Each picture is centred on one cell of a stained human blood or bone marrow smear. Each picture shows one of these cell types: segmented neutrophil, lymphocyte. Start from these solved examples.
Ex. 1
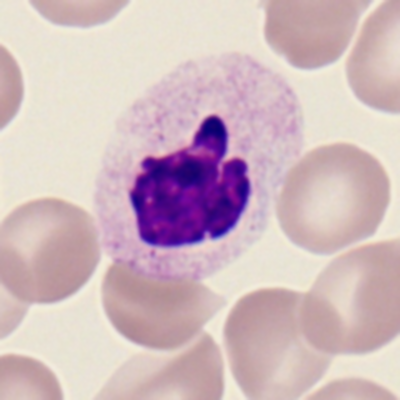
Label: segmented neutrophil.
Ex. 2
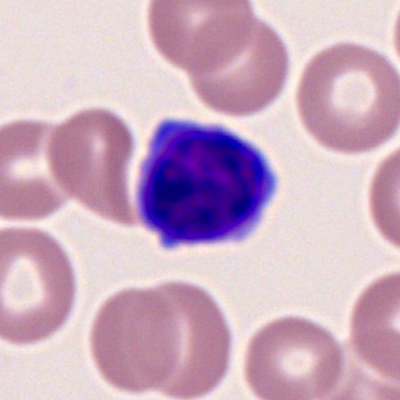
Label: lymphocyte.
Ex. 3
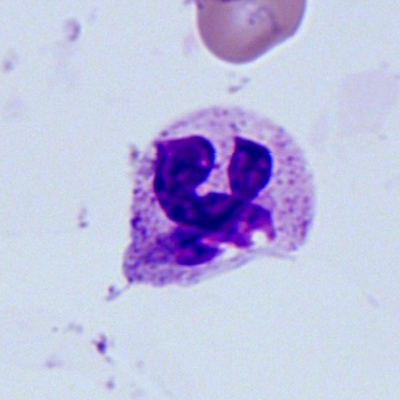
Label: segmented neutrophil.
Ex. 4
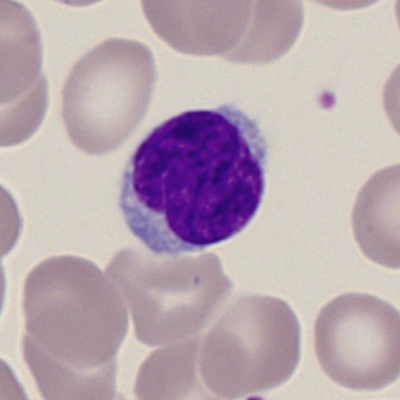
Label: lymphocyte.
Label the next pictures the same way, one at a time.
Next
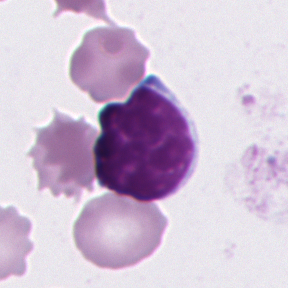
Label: lymphocyte.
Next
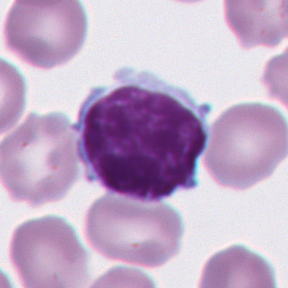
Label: lymphocyte.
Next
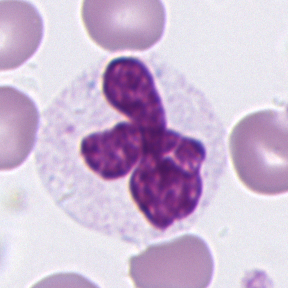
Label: segmented neutrophil.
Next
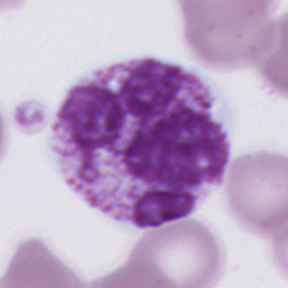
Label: segmented neutrophil.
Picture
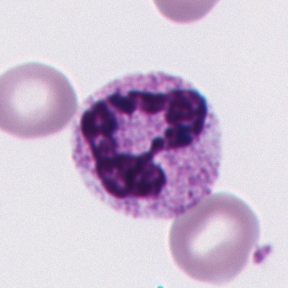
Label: segmented neutrophil.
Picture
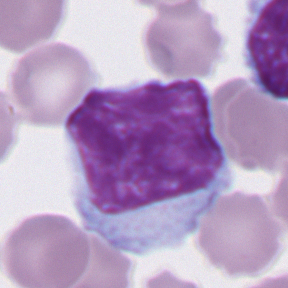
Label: lymphocyte.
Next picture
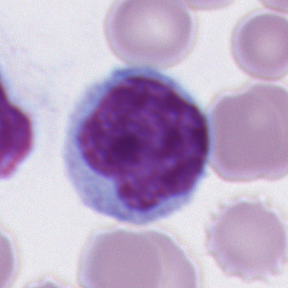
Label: lymphocyte.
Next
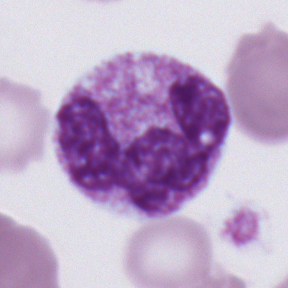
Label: segmented neutrophil.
